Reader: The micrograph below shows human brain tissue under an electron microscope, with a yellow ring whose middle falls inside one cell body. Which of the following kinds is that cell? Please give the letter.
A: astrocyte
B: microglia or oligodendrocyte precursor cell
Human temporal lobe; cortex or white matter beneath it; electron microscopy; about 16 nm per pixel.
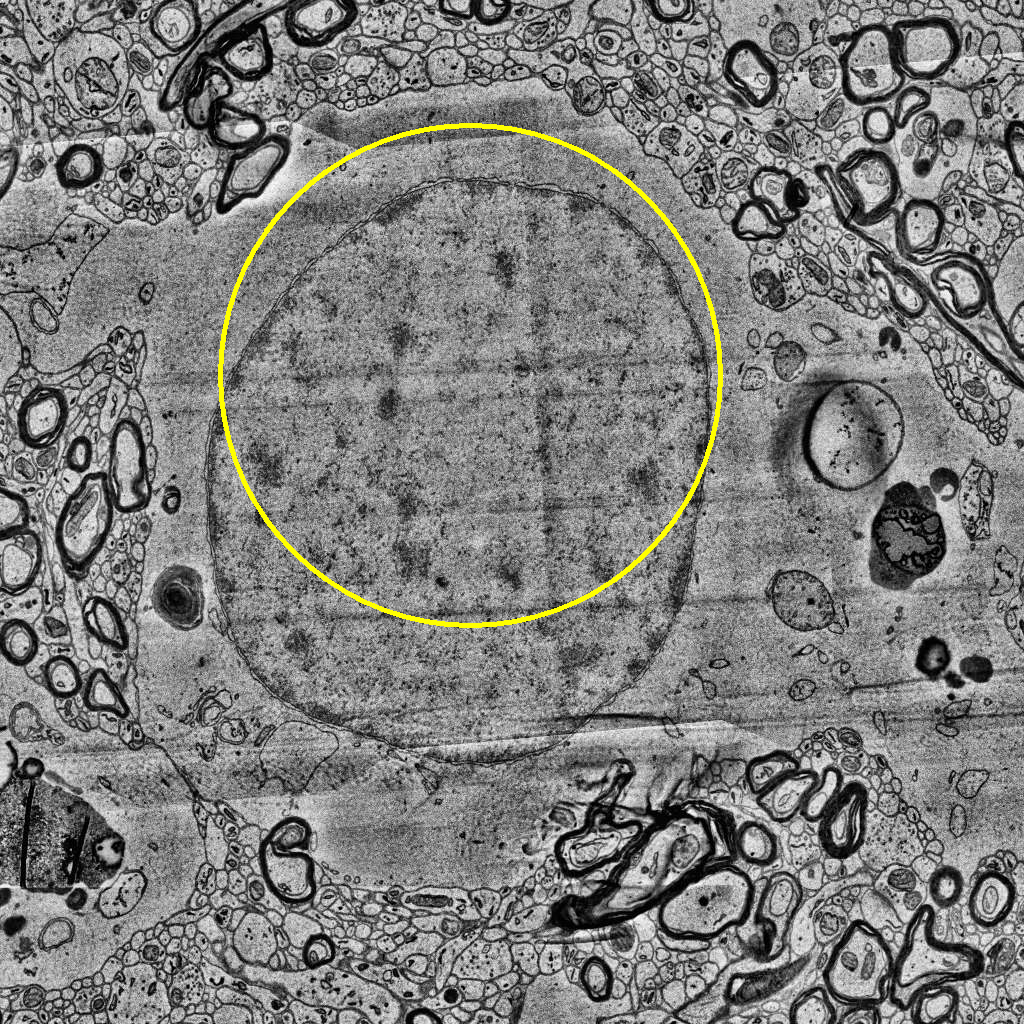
A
